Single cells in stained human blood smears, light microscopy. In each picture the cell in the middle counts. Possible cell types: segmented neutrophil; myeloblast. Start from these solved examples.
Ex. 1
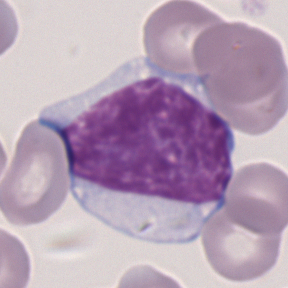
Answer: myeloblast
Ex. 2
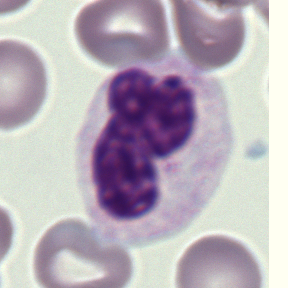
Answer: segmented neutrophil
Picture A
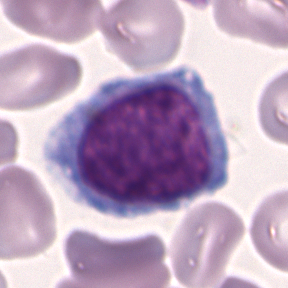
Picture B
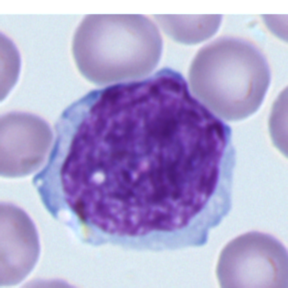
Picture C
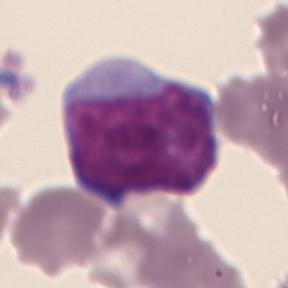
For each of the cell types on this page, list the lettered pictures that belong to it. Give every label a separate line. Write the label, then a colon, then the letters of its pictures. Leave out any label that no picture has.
myeloblast: A, B, C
